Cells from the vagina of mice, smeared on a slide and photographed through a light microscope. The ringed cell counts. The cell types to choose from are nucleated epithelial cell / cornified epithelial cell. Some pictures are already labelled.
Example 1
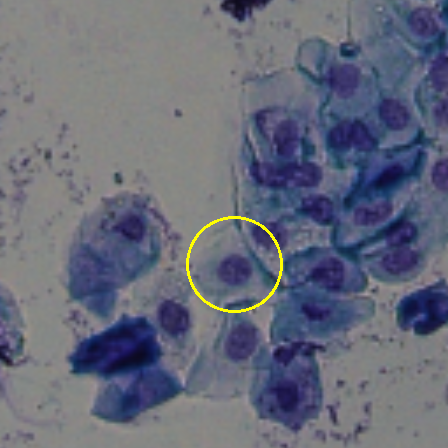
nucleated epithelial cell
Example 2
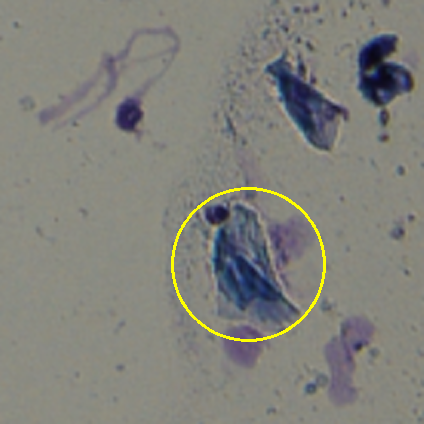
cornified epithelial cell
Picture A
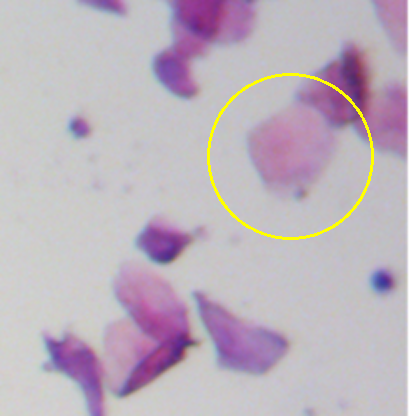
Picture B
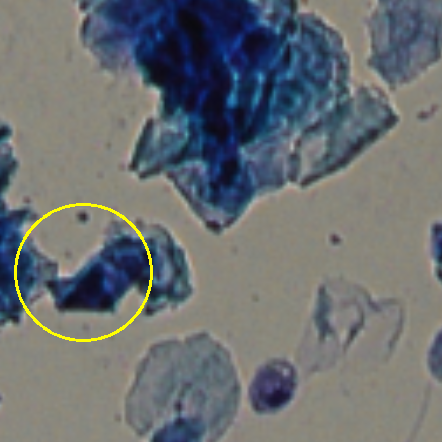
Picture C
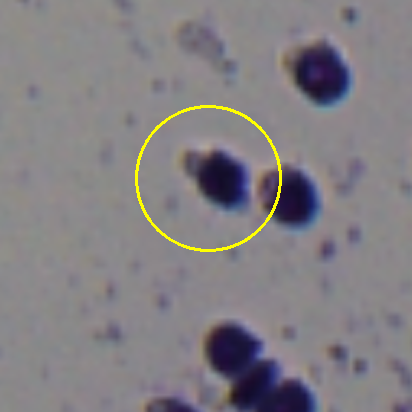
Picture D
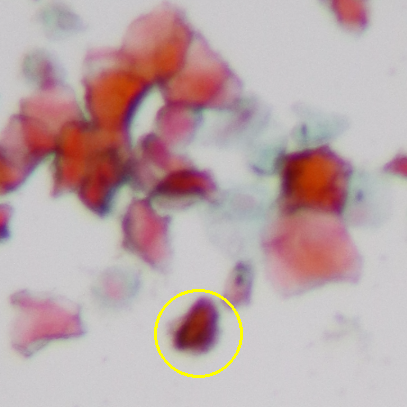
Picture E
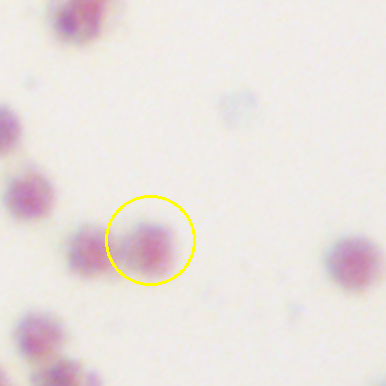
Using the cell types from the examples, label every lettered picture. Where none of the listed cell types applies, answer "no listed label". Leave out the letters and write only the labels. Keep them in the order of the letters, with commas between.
cornified epithelial cell, cornified epithelial cell, no listed label, cornified epithelial cell, no listed label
